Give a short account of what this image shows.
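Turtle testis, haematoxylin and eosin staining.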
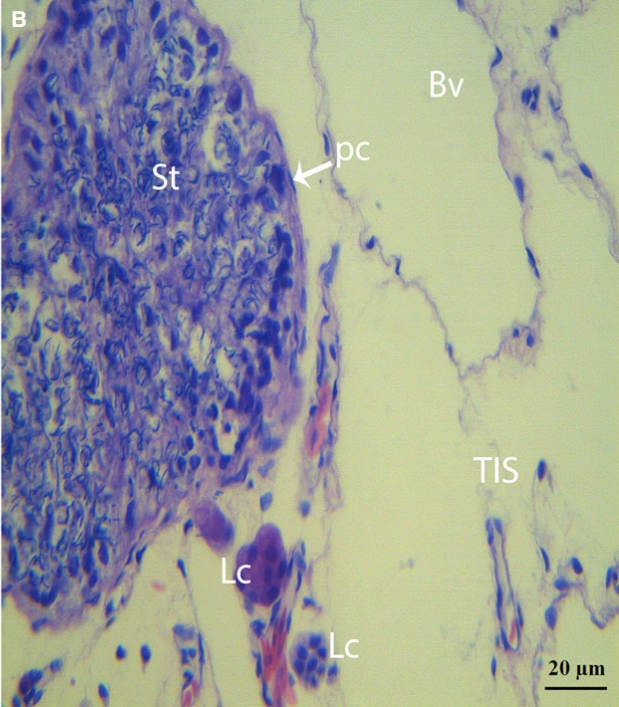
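The edge of a seminiferous tubule is densely packed with cells whose dark blue nuclei are often elongated and curved. Its wall contains flattened peritubular cells with elongated nuclei. In the pale interstitial tissue beside it lie small clusters of rounded Leydig cells with purple cytoplasm, next to red blood cells, and a thin-walled blood vessel lined by flattened endothelial cells encloses a wide, clear lumen.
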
